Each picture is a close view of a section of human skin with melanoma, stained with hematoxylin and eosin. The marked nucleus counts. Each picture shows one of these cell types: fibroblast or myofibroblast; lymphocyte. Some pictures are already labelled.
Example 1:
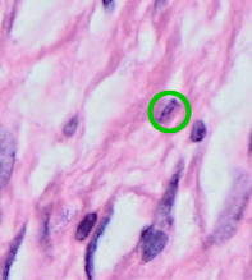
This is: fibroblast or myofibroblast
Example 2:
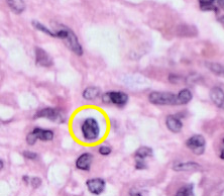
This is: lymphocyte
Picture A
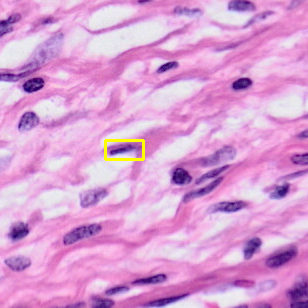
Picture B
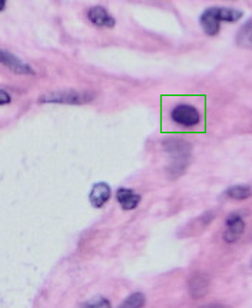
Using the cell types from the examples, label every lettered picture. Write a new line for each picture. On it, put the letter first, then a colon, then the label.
A: fibroblast or myofibroblast
B: lymphocyte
